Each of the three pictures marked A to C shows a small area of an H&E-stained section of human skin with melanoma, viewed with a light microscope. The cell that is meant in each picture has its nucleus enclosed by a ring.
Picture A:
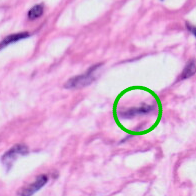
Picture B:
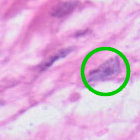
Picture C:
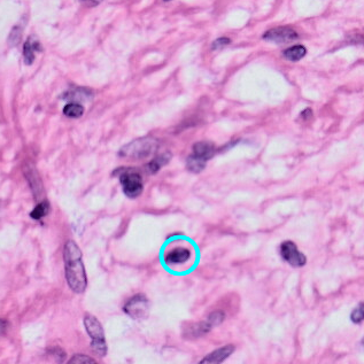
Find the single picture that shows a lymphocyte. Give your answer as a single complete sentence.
The cell in picture C is the lymphocyte.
